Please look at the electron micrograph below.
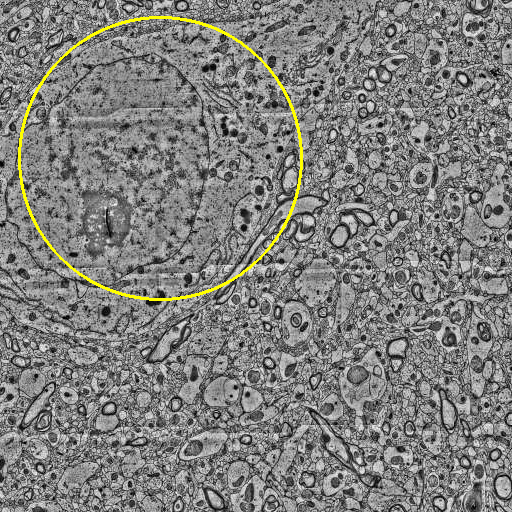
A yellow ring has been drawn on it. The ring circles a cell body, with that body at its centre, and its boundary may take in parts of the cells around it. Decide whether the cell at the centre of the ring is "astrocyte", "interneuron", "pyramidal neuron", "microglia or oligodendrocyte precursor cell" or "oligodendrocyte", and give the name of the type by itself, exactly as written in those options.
pyramidal neuron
